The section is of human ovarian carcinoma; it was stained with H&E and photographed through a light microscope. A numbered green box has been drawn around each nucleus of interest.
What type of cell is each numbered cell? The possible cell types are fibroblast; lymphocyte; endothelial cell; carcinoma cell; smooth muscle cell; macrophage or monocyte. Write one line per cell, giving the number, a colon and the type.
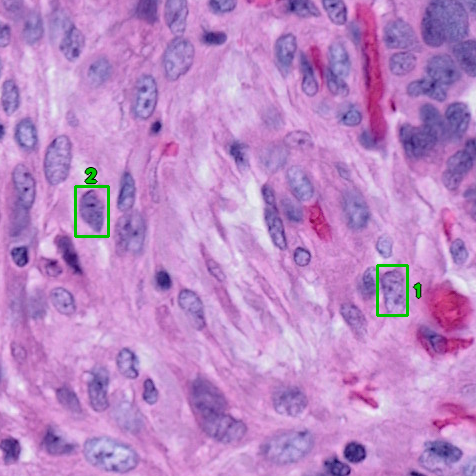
1: fibroblast
2: macrophage or monocyte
